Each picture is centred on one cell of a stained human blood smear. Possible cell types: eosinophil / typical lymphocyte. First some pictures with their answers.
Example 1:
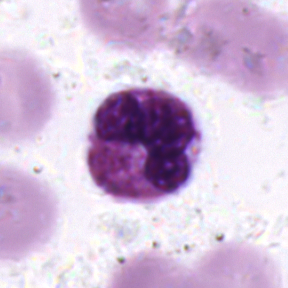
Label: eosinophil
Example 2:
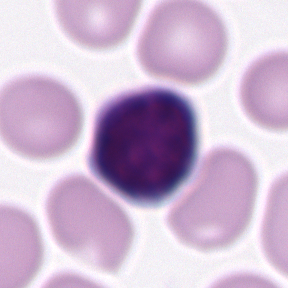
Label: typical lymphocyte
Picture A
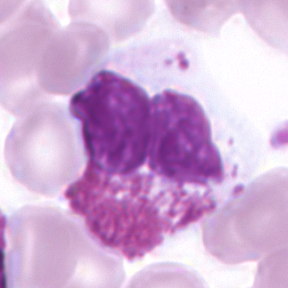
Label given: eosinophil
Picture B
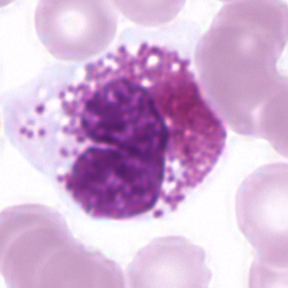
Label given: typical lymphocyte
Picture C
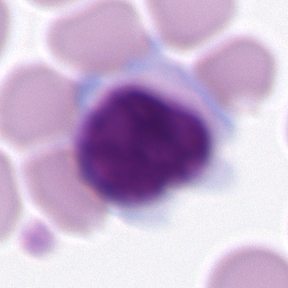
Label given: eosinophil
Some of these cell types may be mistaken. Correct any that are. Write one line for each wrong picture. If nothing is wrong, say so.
Wrong: B (typical lymphocyte); correct: eosinophil
Wrong: C (eosinophil); correct: typical lymphocyte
